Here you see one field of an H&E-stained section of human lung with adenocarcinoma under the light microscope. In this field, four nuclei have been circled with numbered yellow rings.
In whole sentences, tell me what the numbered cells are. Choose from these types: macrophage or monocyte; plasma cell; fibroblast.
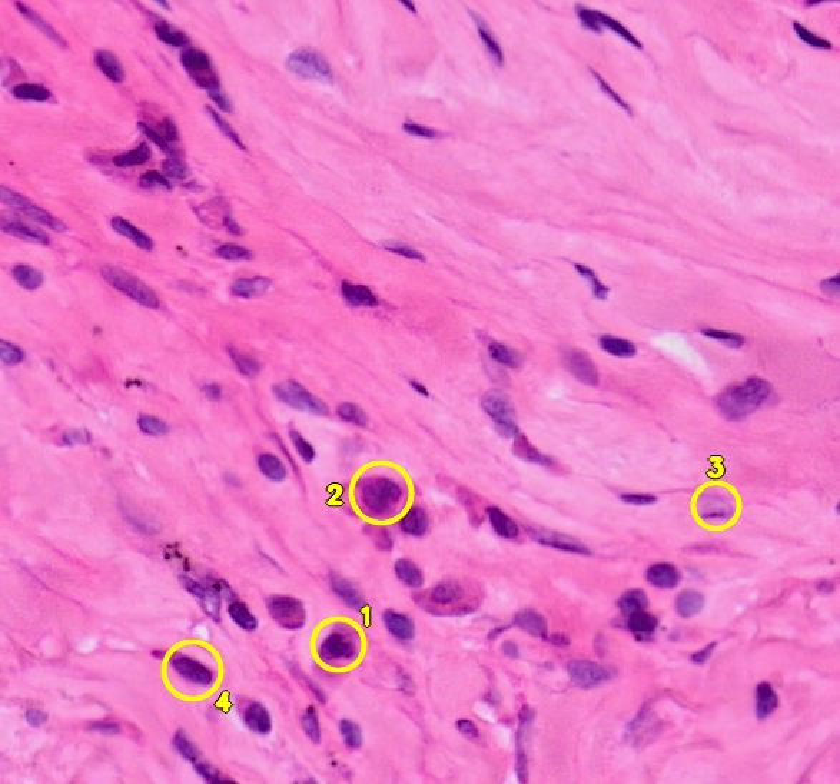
Cells 1, 2 and 4 are plasma cells. Cell 3 is a fibroblast.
